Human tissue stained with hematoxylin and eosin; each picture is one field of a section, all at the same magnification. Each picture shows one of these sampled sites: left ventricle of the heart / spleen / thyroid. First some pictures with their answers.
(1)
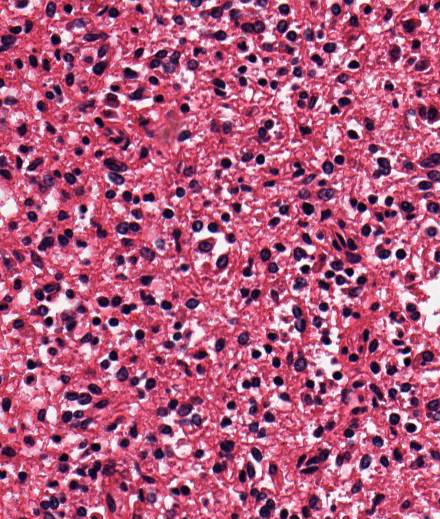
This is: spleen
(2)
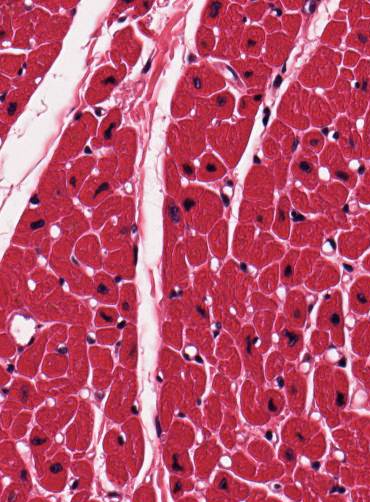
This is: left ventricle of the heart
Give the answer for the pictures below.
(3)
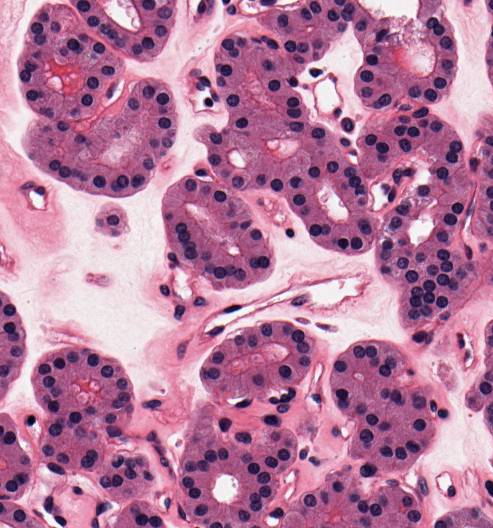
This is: thyroid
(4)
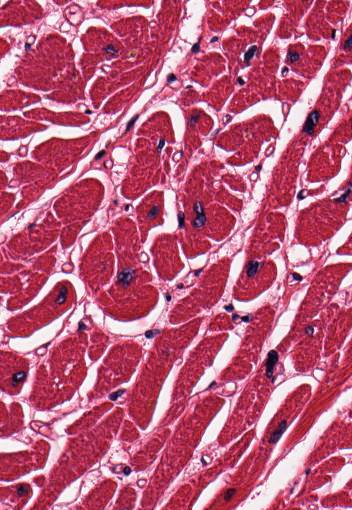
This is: left ventricle of the heart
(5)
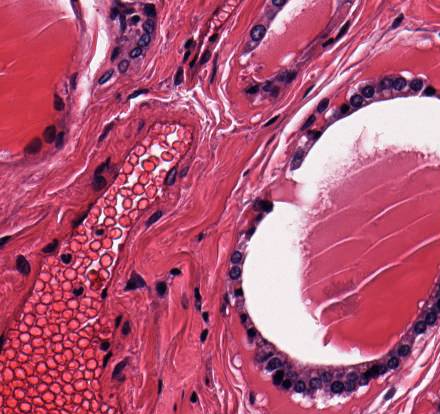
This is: thyroid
